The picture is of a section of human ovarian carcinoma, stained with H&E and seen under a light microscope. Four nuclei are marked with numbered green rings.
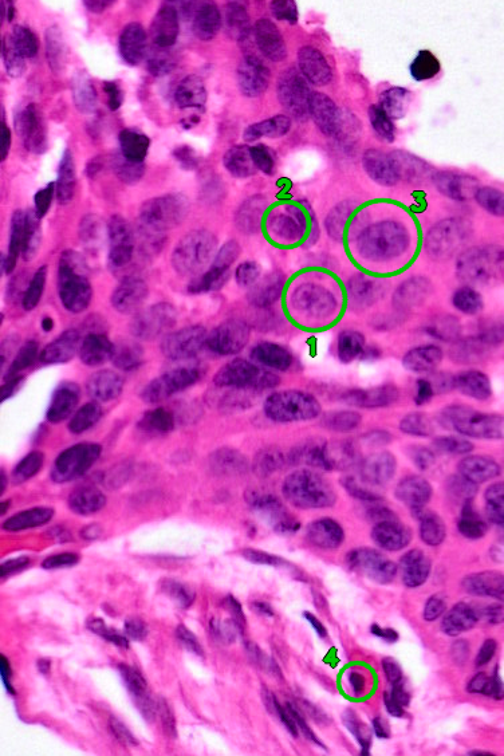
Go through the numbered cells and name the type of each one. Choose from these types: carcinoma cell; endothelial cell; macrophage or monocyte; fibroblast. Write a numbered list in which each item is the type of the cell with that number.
1. carcinoma cell
2. carcinoma cell
3. carcinoma cell
4. endothelial cell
